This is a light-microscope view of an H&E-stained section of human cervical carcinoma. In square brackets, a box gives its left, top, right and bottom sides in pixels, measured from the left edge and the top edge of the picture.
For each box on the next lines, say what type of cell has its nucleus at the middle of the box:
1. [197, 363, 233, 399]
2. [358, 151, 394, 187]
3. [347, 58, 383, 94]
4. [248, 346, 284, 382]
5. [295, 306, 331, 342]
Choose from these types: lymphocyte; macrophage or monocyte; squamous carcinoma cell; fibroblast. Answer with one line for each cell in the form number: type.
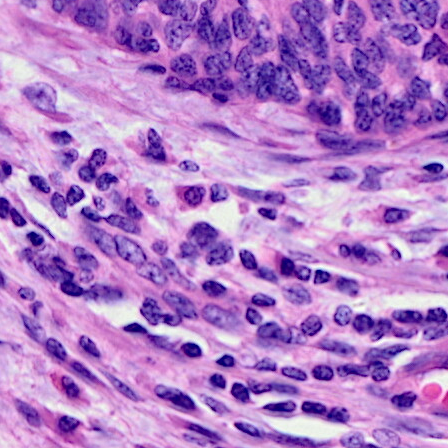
1: lymphocyte
2: fibroblast
3: squamous carcinoma cell
4: lymphocyte
5: lymphocyte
